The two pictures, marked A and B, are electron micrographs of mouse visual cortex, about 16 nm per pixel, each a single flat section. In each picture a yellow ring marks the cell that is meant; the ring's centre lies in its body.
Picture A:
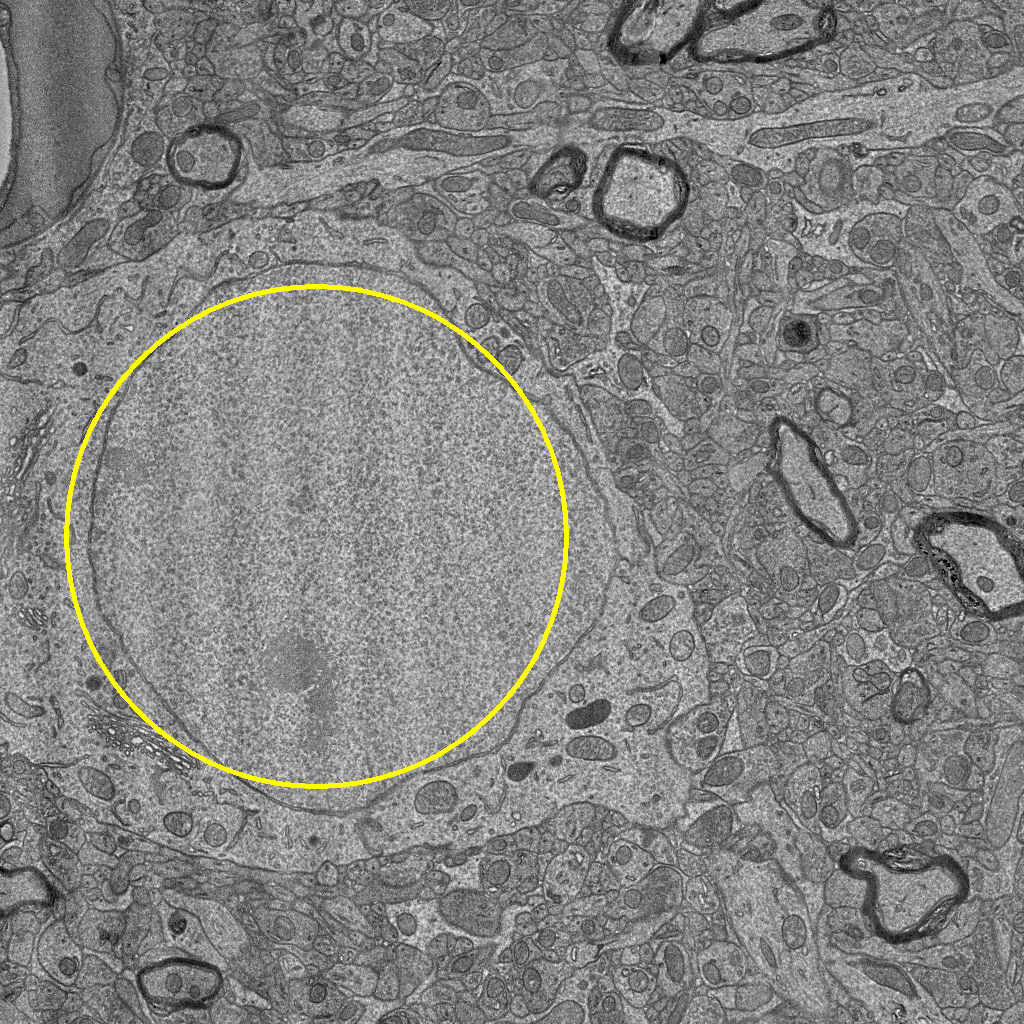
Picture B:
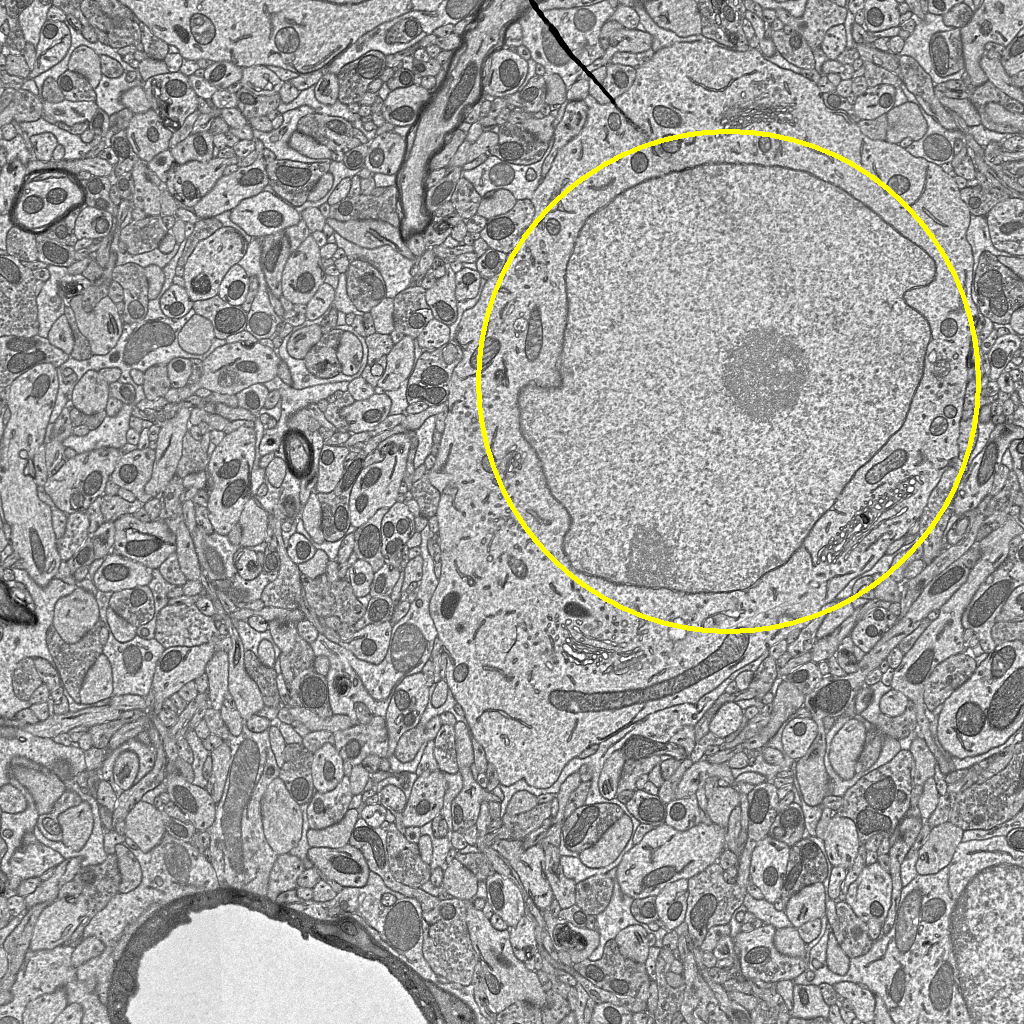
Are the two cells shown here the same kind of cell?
Yes, both cells are excitatory neurons.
